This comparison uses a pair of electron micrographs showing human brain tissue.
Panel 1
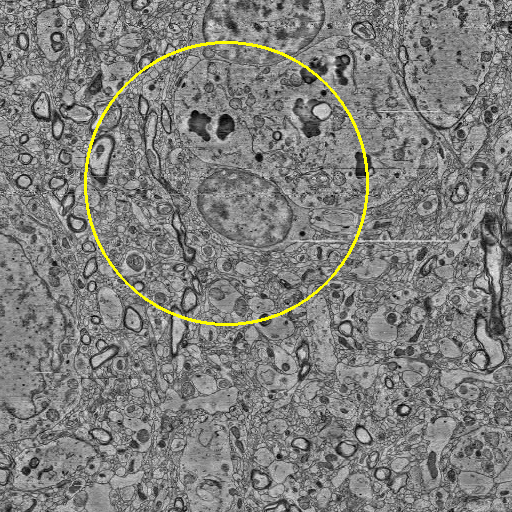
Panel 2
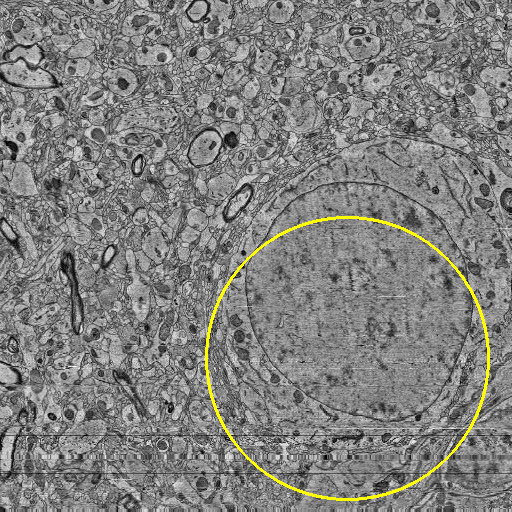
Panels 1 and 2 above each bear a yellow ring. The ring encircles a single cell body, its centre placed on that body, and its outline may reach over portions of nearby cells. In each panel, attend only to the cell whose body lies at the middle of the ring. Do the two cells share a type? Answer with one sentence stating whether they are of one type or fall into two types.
In Panel 1 and Panel 2, the cells at the centres of the rings fall into two types.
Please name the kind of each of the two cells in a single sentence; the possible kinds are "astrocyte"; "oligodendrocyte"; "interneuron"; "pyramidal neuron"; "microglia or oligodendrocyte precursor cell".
In the first picture the ring is centred on an oligodendrocyte, and in the second on a pyramidal neuron.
